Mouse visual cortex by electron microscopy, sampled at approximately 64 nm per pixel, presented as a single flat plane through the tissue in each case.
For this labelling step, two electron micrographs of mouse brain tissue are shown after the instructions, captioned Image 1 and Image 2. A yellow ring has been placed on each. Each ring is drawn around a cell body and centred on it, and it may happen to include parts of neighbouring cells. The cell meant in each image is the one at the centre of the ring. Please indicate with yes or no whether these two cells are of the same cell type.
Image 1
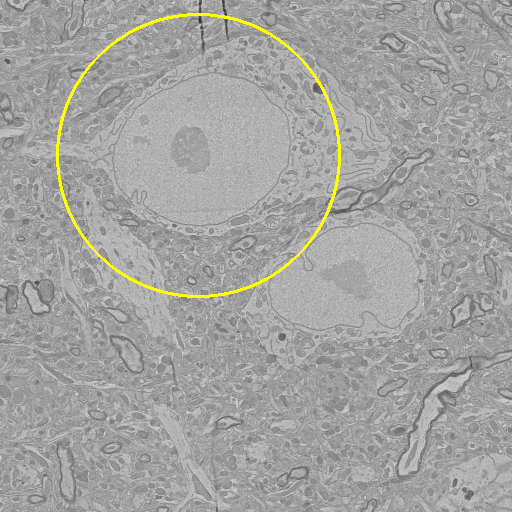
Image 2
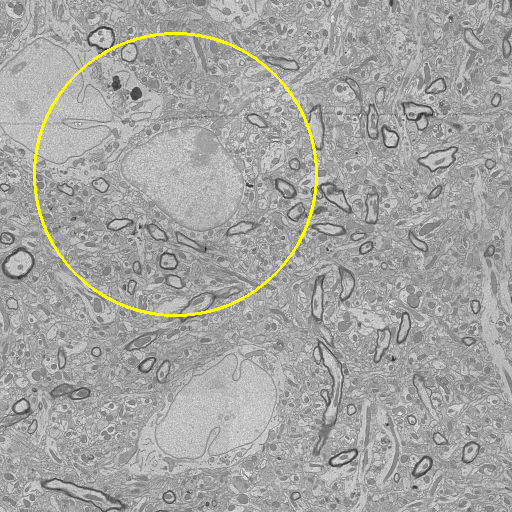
no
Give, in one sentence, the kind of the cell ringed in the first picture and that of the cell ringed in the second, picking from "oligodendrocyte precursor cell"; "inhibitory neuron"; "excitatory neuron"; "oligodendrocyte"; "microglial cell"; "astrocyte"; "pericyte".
For the first picture it is an excitatory neuron; for the second, an astrocyte.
